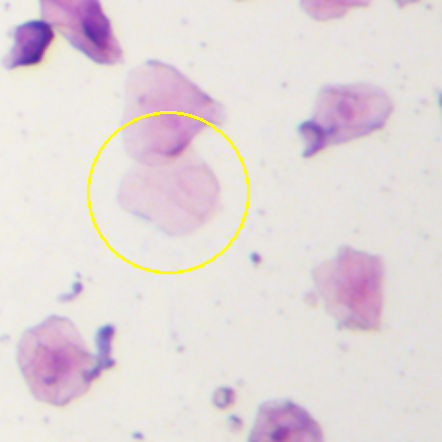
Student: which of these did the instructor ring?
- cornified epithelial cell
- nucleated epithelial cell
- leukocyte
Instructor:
The cell I ringed is a cornified epithelial cell.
